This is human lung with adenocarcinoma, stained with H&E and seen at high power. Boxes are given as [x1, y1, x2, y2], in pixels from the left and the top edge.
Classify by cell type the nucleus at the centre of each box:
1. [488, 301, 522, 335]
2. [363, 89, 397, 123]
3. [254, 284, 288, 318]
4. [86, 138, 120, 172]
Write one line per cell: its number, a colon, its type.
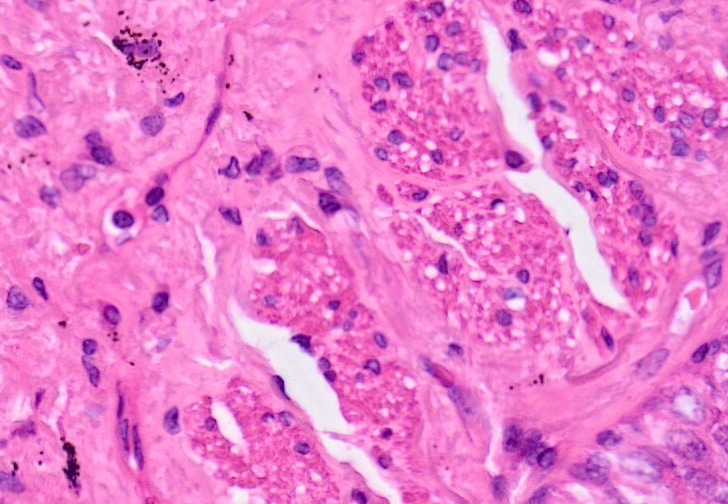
1: smooth muscle cell or pericyte
2: smooth muscle cell or pericyte
3: smooth muscle cell or pericyte
4: plasma cell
